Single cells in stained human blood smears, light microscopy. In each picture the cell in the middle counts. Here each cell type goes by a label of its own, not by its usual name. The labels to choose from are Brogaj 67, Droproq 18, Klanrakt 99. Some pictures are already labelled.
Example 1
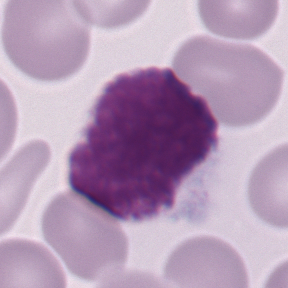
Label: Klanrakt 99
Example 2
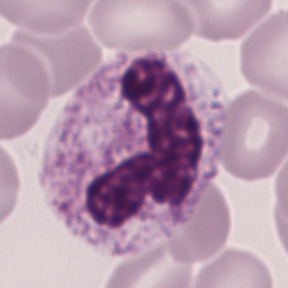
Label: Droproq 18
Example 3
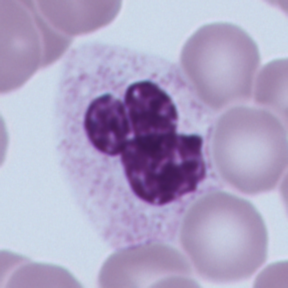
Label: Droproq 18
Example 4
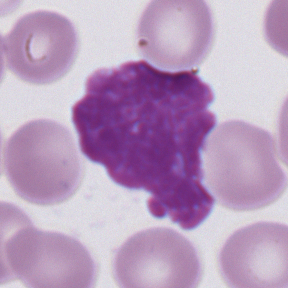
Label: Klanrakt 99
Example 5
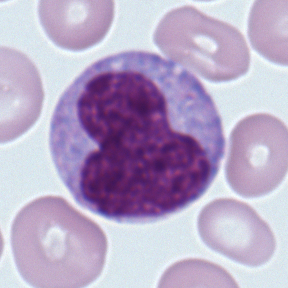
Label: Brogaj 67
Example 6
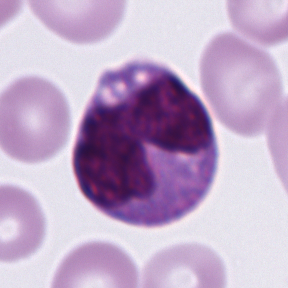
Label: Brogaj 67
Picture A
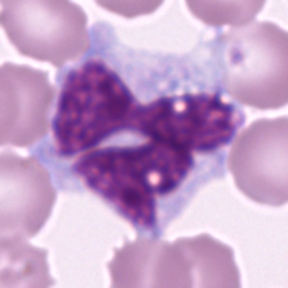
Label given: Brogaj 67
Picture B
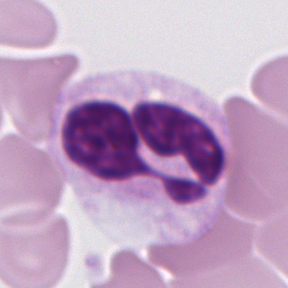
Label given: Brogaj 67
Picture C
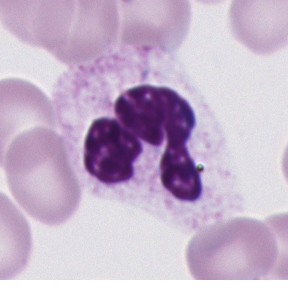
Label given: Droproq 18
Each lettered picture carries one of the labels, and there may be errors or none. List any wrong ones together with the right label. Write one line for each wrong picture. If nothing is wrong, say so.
B: change Brogaj 67 to Droproq 18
